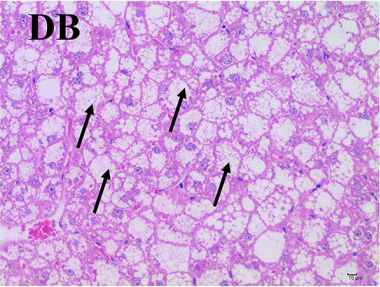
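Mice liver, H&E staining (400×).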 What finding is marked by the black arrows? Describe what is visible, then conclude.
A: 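Polygonal liver cells with central round nuclei. Cytoplasm is pale and filled with clear vacuoles. Some cells are ballooned with large empty spaces. The answer: damaged hepatocytes.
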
